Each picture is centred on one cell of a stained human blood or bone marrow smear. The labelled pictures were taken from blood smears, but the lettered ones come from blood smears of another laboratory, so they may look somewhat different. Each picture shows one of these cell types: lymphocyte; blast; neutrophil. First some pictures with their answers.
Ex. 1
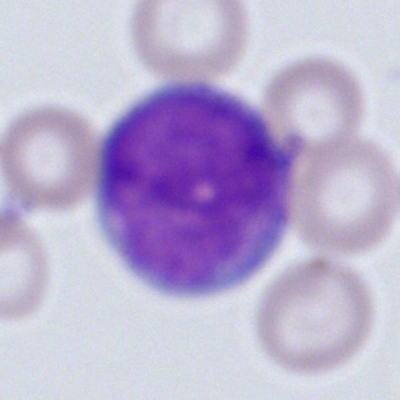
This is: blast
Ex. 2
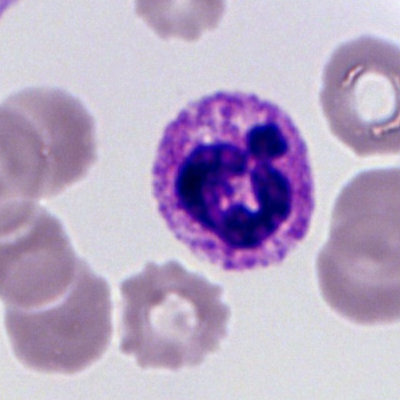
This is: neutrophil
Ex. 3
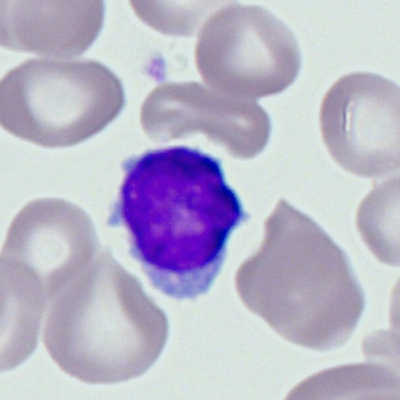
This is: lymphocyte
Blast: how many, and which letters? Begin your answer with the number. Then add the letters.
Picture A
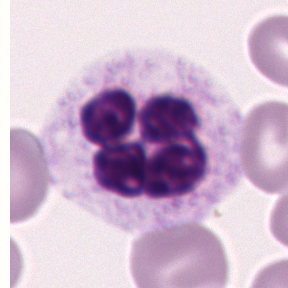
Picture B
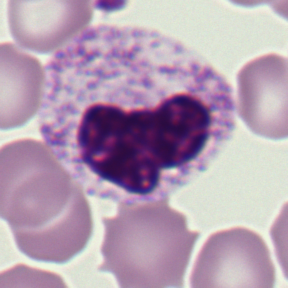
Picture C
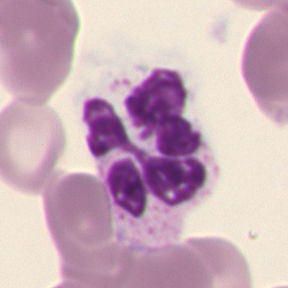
0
